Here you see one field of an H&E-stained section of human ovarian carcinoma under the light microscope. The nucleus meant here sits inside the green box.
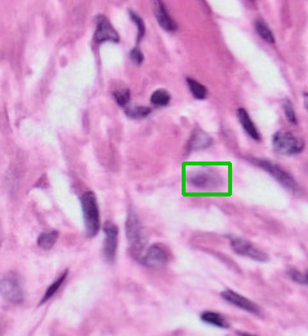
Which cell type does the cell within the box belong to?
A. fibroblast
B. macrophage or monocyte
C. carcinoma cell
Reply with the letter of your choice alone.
A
